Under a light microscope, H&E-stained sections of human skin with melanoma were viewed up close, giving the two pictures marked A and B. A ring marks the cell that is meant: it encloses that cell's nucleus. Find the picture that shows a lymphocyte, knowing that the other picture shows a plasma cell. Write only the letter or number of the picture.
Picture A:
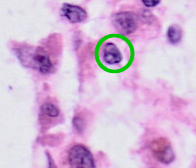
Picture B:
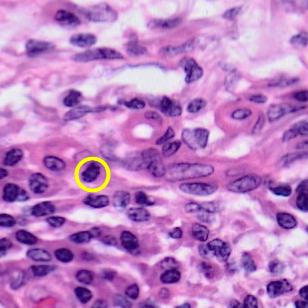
A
